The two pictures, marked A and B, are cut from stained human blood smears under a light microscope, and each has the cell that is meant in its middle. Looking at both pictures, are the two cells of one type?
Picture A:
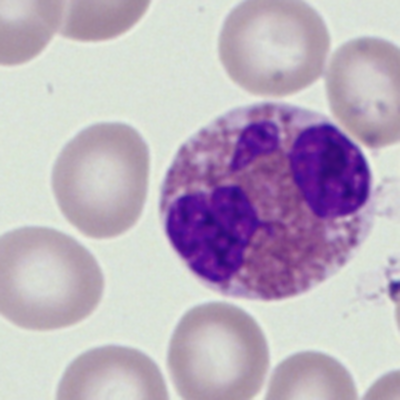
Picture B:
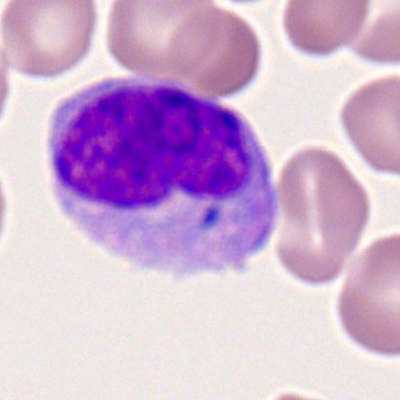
no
